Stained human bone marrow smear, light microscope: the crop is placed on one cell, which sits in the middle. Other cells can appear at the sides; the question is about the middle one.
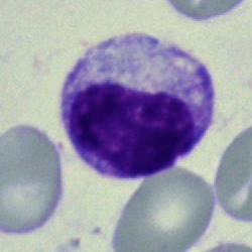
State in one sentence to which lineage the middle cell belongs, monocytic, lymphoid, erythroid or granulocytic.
The central cell is grouped with the granulocytic lineage.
